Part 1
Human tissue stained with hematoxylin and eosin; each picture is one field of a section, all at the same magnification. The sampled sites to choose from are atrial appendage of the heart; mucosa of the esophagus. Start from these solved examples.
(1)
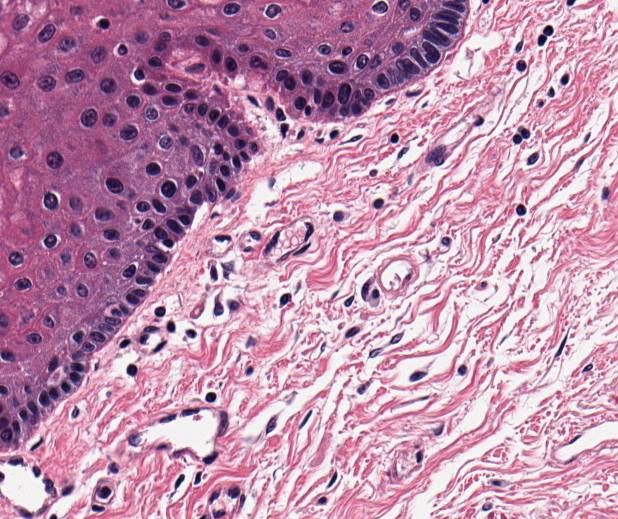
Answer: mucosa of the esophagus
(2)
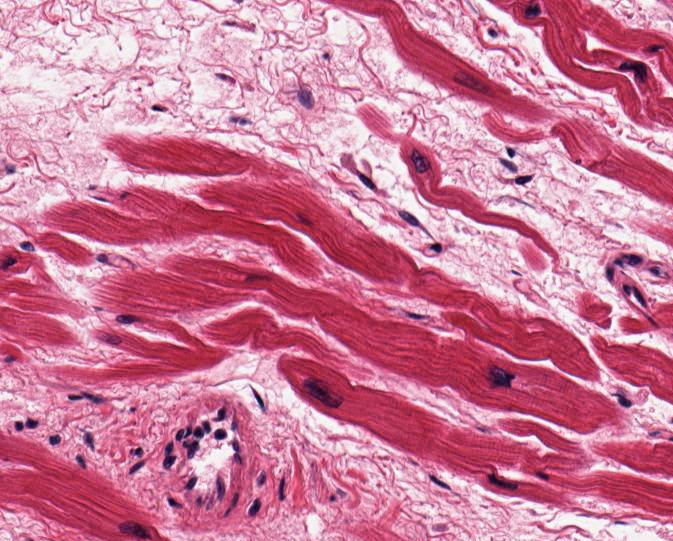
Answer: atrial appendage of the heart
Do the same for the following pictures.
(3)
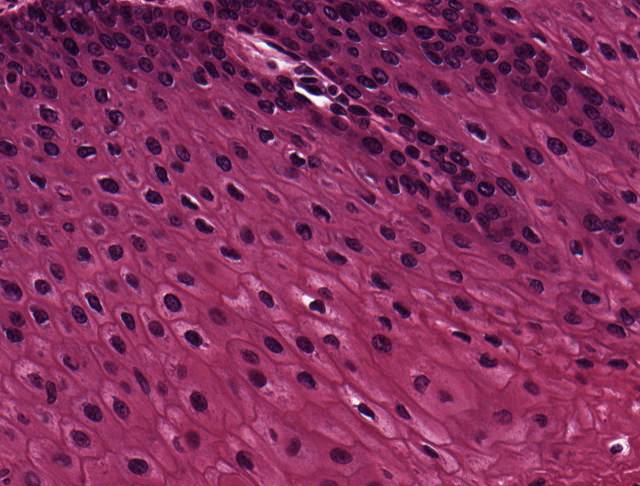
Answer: mucosa of the esophagus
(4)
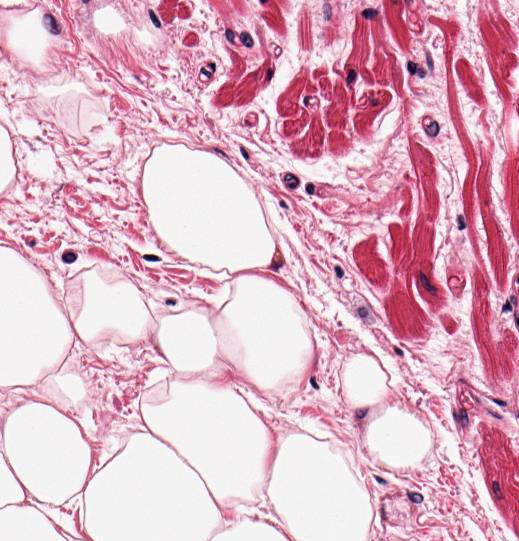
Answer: atrial appendage of the heart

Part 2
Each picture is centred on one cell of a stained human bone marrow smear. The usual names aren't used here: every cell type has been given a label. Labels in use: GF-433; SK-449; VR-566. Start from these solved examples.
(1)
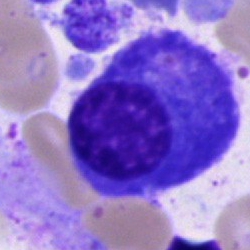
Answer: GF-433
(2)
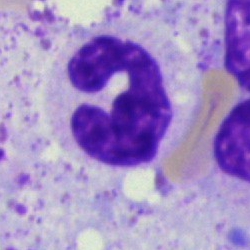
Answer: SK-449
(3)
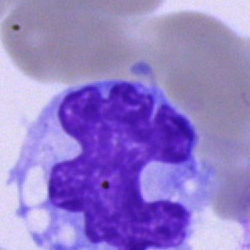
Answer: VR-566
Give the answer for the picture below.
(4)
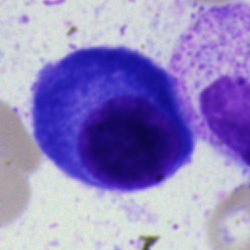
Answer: GF-433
